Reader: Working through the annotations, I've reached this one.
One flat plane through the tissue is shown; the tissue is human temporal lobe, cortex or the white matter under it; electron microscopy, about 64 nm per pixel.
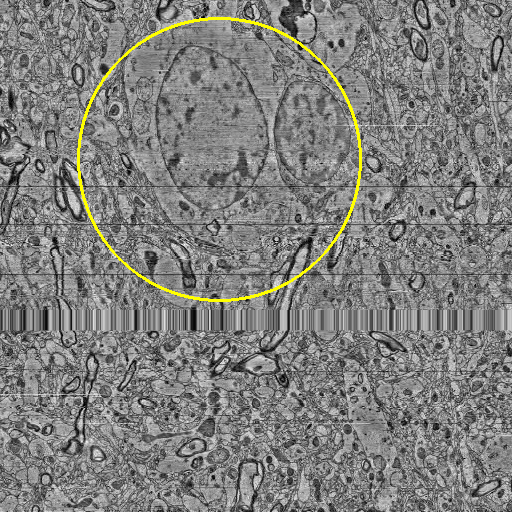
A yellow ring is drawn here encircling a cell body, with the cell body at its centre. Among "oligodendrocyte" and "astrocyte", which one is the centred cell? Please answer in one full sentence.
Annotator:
The cell body at the centre of the yellow ring in this image belongs to an astrocyte.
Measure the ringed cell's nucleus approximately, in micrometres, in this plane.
In this plane the nucleus is roughly 11 by 7 micrometres, clearly longer than it is wide.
